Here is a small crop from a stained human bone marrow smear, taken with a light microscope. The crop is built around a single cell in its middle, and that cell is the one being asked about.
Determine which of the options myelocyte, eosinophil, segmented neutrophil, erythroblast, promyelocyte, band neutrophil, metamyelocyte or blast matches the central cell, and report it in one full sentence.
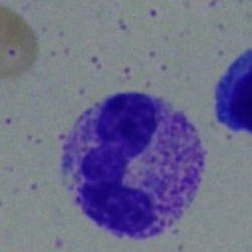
Standing at the centre of this crop is a band neutrophil.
